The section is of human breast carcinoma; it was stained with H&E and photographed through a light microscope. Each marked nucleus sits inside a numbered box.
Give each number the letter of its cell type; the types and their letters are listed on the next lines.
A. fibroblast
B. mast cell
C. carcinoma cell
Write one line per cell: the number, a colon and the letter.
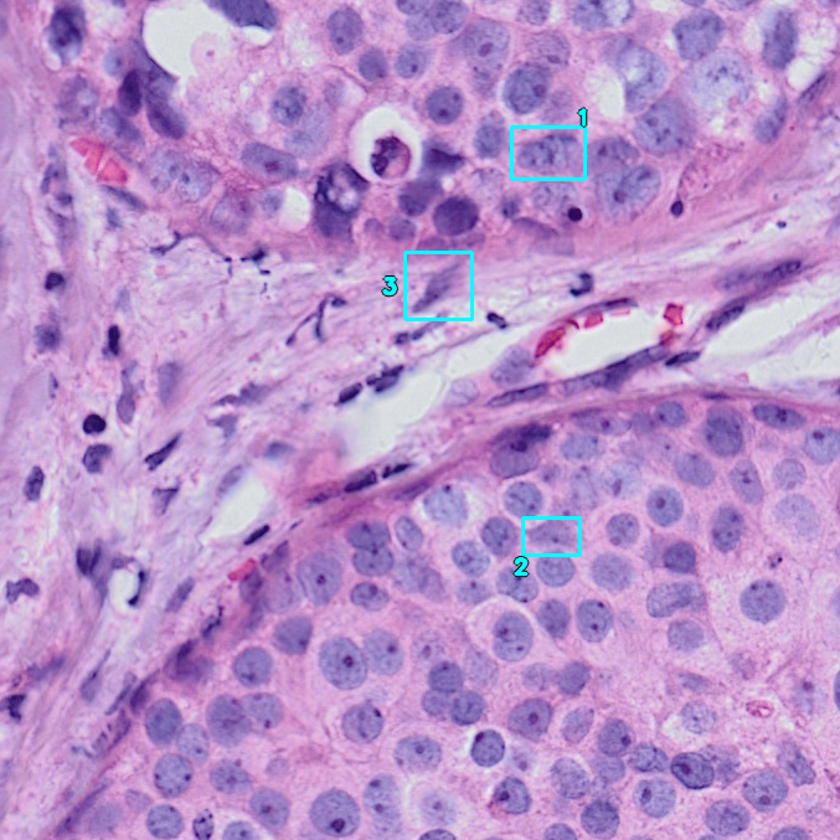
1: C
2: C
3: A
